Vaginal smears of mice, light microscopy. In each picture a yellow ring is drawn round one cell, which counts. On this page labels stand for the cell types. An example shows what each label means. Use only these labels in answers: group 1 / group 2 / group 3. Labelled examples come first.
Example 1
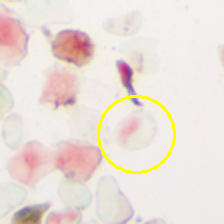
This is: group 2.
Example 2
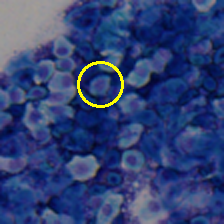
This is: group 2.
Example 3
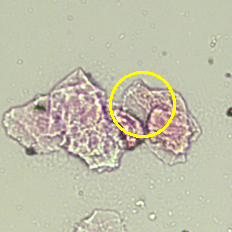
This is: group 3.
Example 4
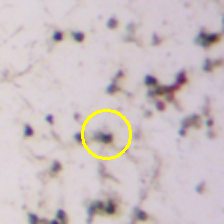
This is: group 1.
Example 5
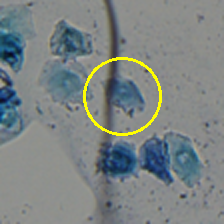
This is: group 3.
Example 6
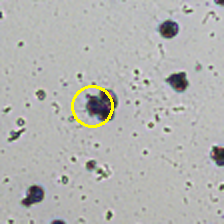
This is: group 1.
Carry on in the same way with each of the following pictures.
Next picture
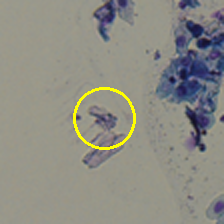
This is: group 3.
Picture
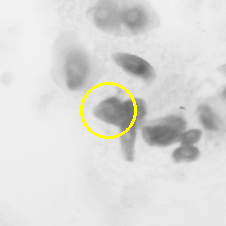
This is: group 2.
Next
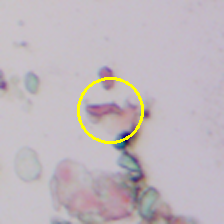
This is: group 3.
